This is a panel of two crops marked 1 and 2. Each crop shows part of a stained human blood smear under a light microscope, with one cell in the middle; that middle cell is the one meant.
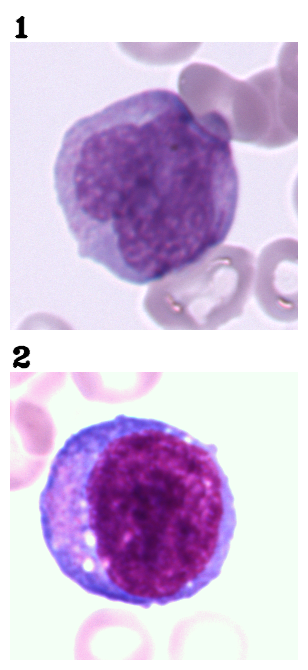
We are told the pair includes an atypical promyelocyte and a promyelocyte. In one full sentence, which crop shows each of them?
The cell centred in crop 1 is an atypical promyelocyte, while the one centred in crop 2 is a promyelocyte.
